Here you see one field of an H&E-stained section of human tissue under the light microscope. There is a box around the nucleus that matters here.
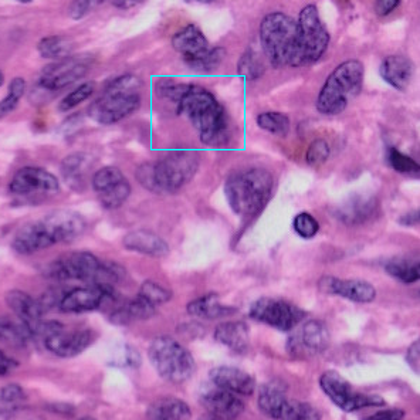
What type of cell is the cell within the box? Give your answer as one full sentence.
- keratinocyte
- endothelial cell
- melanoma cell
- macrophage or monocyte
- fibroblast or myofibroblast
The cell meant here is a melanoma cell.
